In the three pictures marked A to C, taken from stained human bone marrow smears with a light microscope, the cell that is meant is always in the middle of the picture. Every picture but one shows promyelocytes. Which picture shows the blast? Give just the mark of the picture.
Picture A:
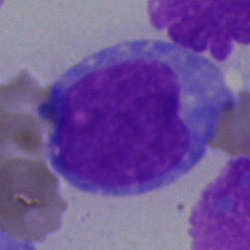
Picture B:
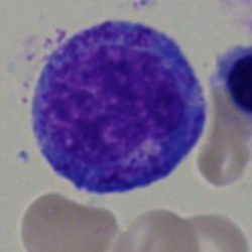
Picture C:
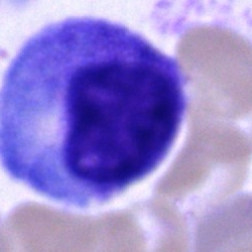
A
